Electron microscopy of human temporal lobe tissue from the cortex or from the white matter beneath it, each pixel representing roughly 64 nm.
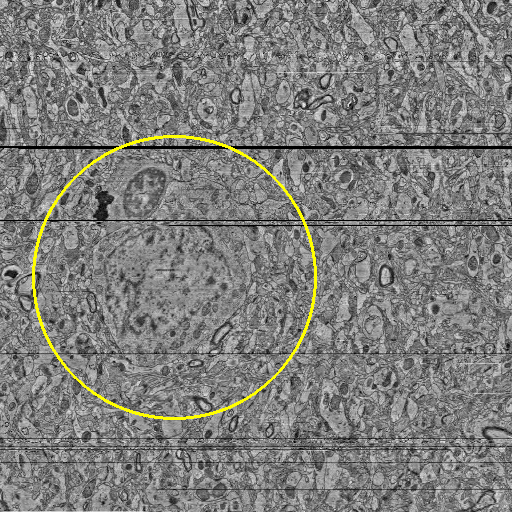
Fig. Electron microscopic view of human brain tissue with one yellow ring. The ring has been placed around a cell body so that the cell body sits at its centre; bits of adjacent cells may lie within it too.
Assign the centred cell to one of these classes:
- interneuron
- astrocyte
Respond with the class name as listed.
interneuron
